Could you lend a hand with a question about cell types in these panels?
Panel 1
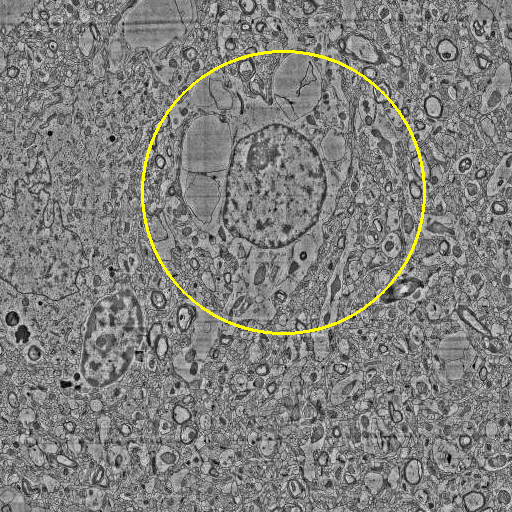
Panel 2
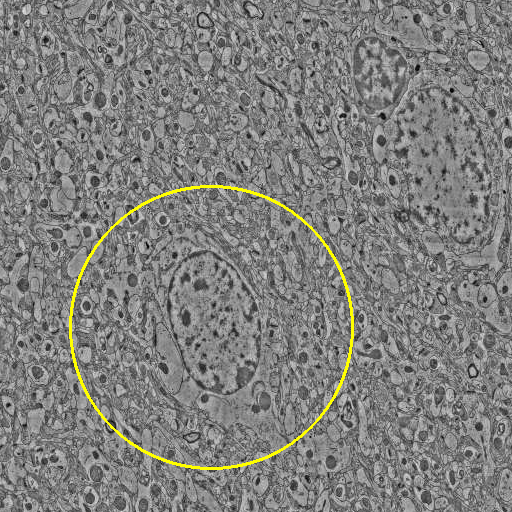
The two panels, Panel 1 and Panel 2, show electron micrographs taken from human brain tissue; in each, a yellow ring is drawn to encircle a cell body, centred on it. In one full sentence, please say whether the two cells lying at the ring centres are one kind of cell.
Yes, the cells at the ring centres in the two panels are one kind of cell.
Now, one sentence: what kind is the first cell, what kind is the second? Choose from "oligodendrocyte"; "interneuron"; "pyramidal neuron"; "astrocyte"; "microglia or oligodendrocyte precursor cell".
In the first picture and in the second, the ring is centred on an astrocyte.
